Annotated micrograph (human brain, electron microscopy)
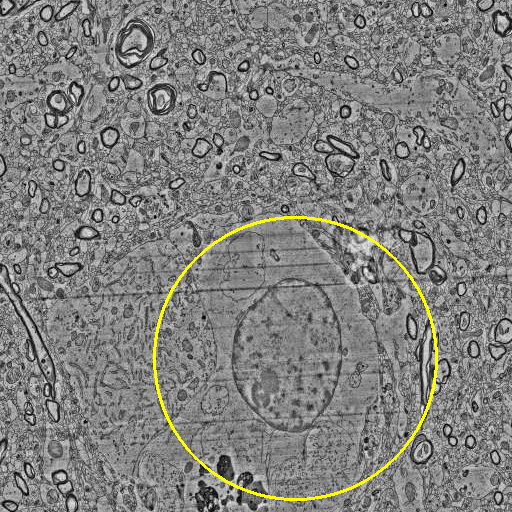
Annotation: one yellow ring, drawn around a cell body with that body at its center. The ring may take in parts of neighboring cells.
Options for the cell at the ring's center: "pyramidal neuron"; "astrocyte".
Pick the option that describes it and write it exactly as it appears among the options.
astrocyte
